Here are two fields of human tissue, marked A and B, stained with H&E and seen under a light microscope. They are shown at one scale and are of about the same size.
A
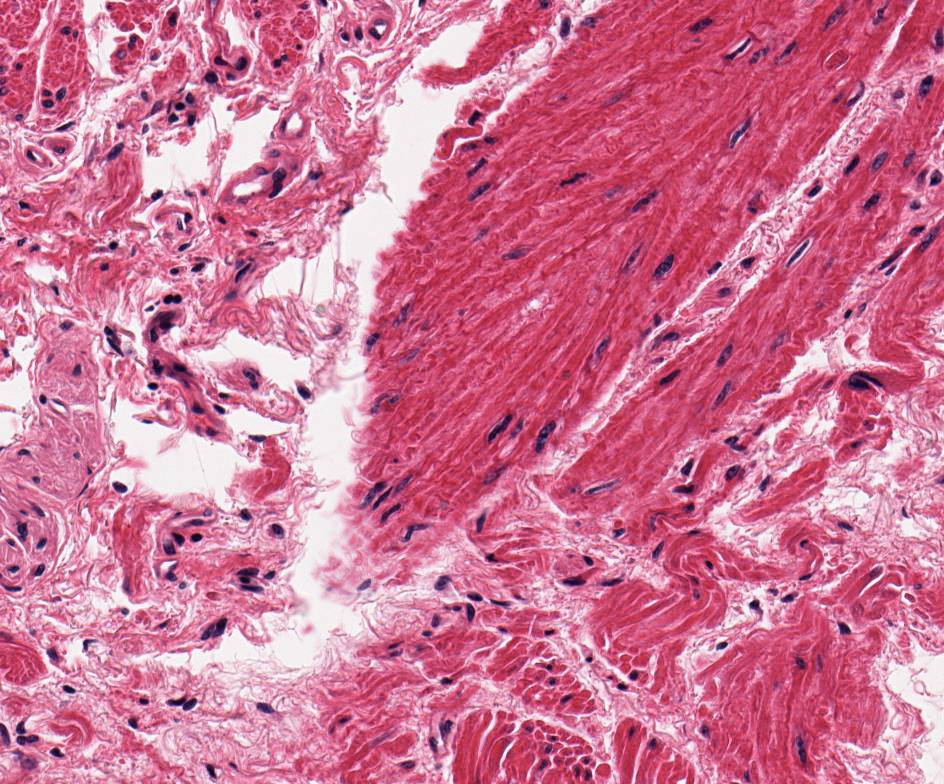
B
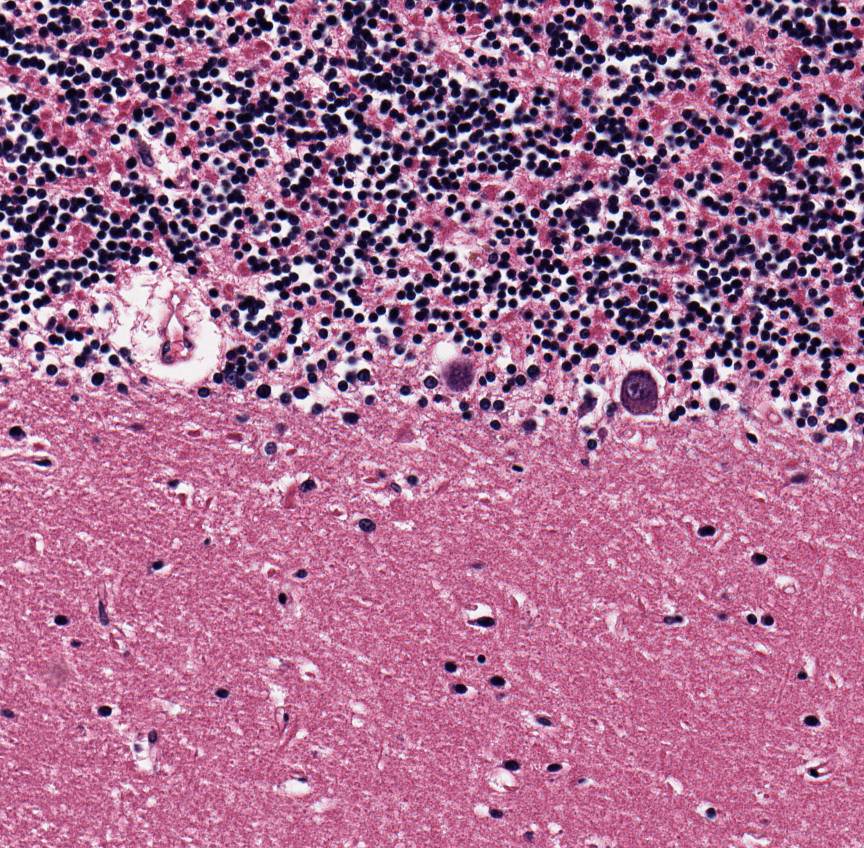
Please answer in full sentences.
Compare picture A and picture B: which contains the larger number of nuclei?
More nuclei lie in picture B than in picture A.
